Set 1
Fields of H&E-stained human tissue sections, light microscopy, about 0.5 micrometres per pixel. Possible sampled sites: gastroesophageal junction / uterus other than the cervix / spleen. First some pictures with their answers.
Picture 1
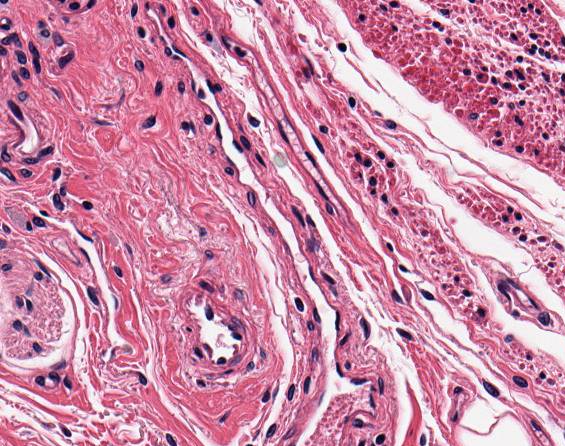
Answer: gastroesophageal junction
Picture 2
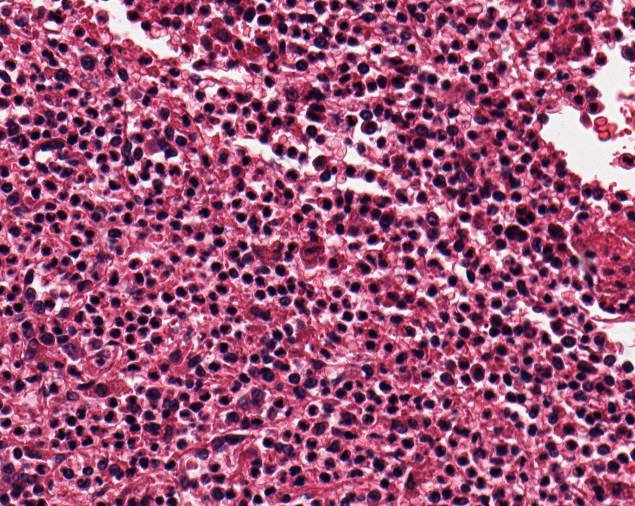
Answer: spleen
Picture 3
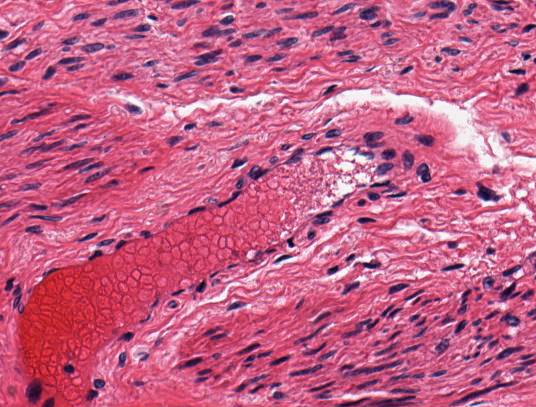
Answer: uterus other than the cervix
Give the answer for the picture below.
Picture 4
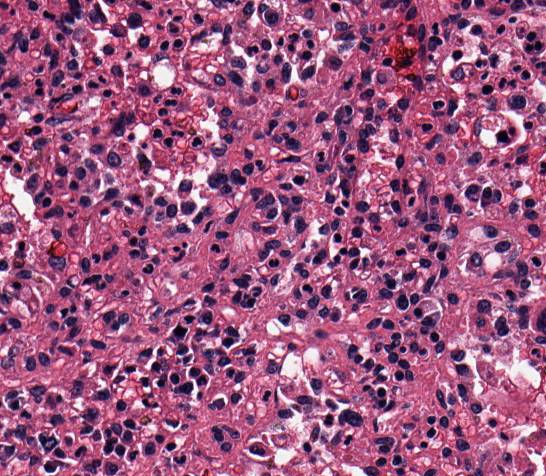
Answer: spleen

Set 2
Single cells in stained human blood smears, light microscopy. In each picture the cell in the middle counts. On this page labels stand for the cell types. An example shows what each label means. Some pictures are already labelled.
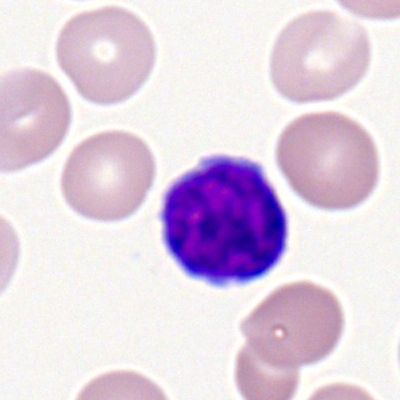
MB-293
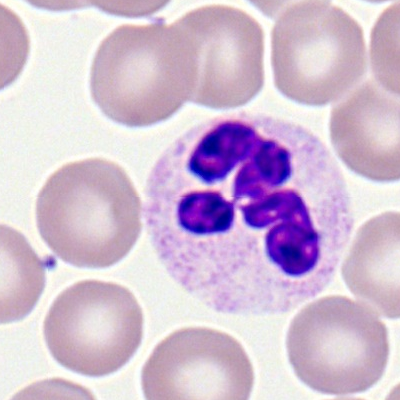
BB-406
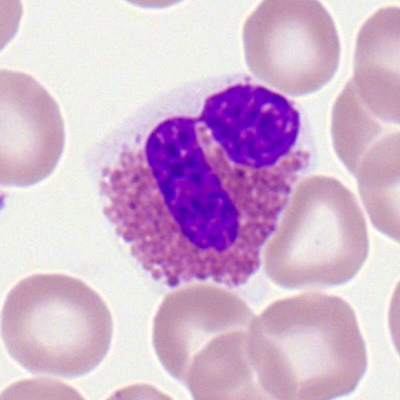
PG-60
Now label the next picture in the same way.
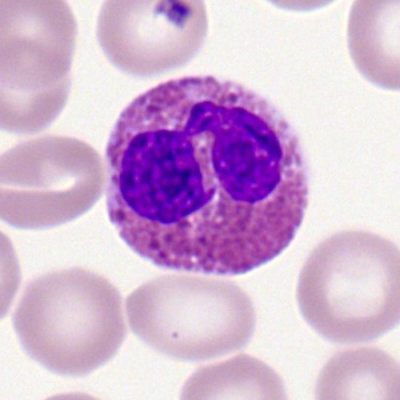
PG-60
